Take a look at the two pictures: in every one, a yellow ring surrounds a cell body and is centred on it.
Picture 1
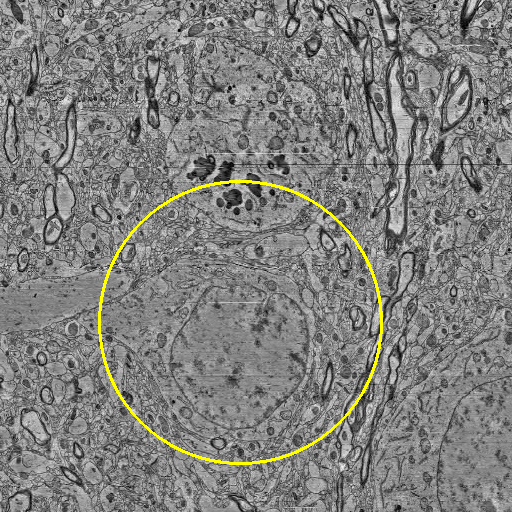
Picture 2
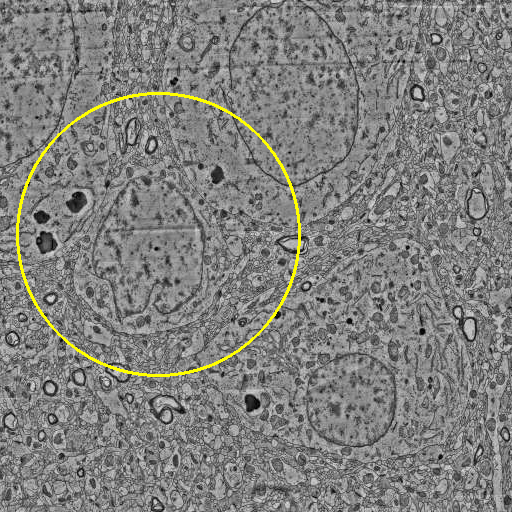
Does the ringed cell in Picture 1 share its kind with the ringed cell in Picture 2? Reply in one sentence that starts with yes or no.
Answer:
Yes, the two centred cells, one per picture, are of one kind.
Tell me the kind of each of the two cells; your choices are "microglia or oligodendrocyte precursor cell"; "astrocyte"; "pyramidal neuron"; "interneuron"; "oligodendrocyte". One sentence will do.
In the first picture and in the second, the ring is centred on an interneuron.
